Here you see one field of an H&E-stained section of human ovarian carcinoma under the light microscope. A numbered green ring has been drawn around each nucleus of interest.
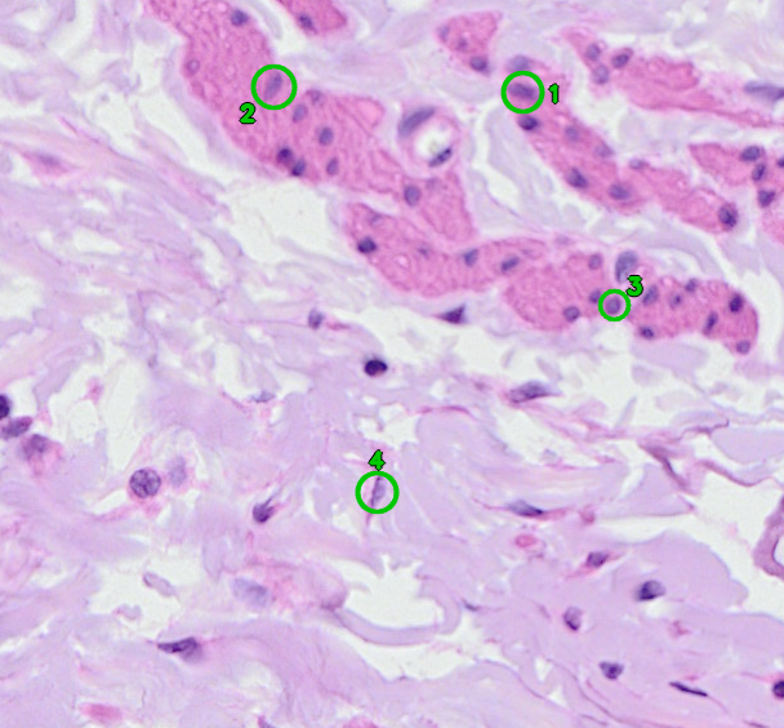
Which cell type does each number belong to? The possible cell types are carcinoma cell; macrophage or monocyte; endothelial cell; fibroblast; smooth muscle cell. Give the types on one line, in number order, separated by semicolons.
smooth muscle cell; smooth muscle cell; smooth muscle cell; fibroblast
